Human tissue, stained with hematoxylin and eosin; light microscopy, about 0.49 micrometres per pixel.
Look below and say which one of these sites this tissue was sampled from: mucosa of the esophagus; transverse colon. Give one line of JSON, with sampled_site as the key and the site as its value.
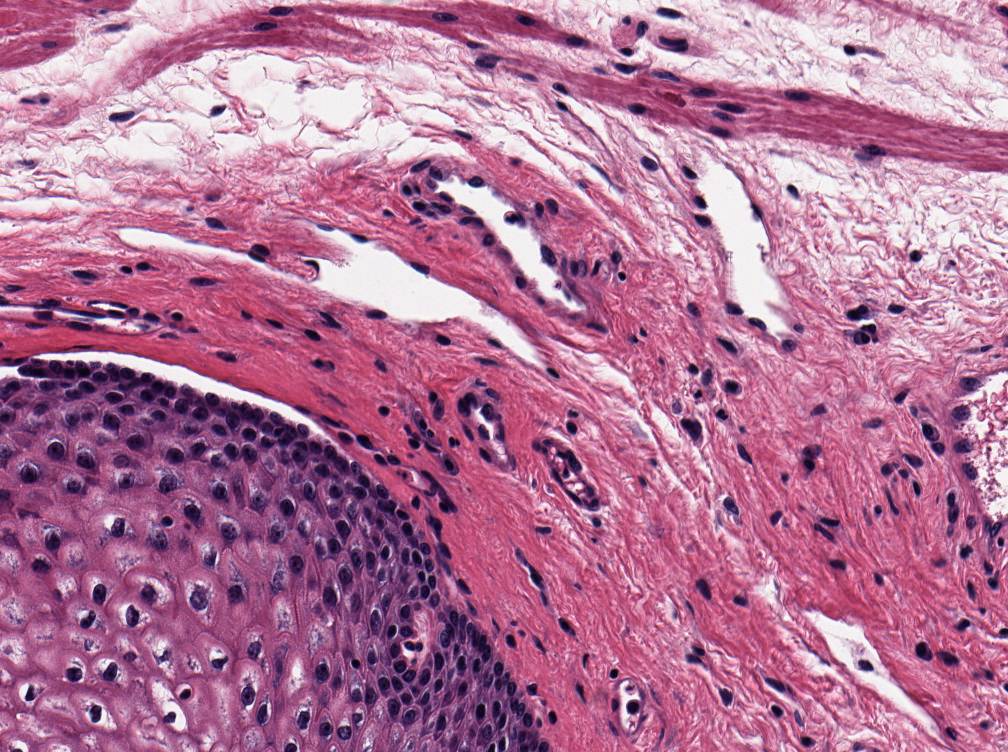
{"sampled_site": "mucosa of the esophagus"}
